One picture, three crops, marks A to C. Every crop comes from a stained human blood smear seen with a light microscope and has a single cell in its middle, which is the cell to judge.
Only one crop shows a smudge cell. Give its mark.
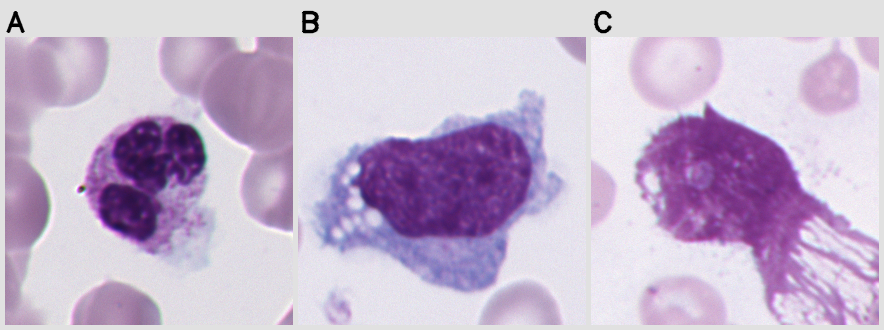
C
